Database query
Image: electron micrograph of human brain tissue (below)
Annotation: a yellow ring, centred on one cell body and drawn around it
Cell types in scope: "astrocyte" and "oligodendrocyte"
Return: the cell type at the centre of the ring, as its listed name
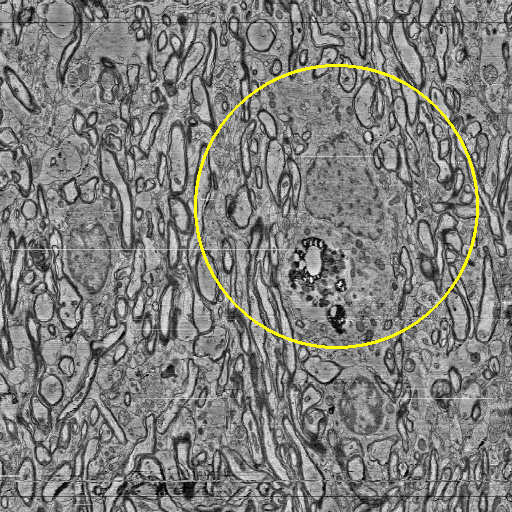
astrocyte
